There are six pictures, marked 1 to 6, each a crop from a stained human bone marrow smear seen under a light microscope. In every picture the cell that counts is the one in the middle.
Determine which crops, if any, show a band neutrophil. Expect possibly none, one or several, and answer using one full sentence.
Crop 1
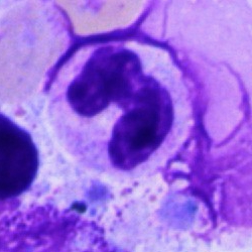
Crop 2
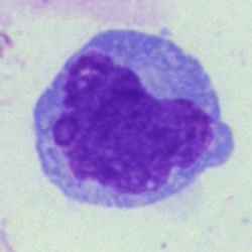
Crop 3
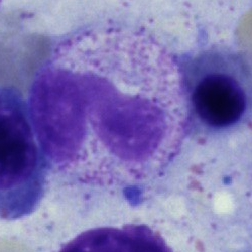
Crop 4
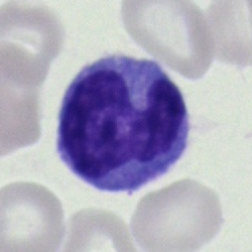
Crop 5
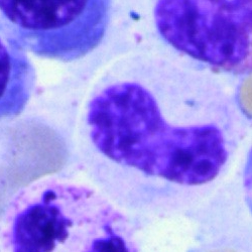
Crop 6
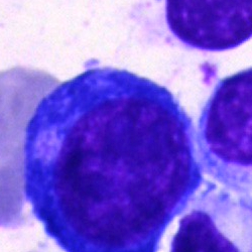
The central cells of crops 3 and 5 fall into the category of band neutrophils.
